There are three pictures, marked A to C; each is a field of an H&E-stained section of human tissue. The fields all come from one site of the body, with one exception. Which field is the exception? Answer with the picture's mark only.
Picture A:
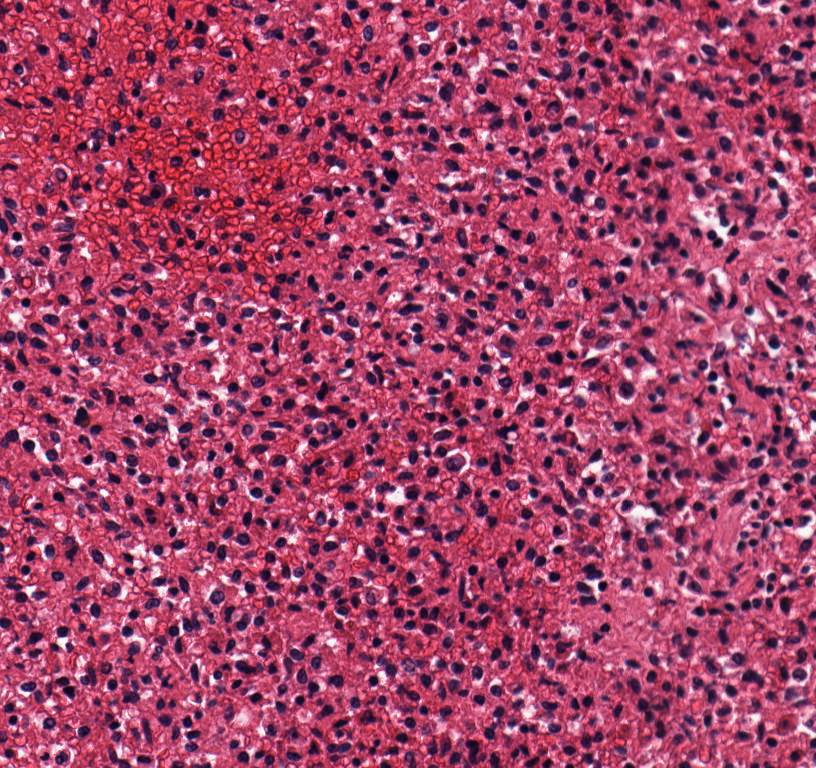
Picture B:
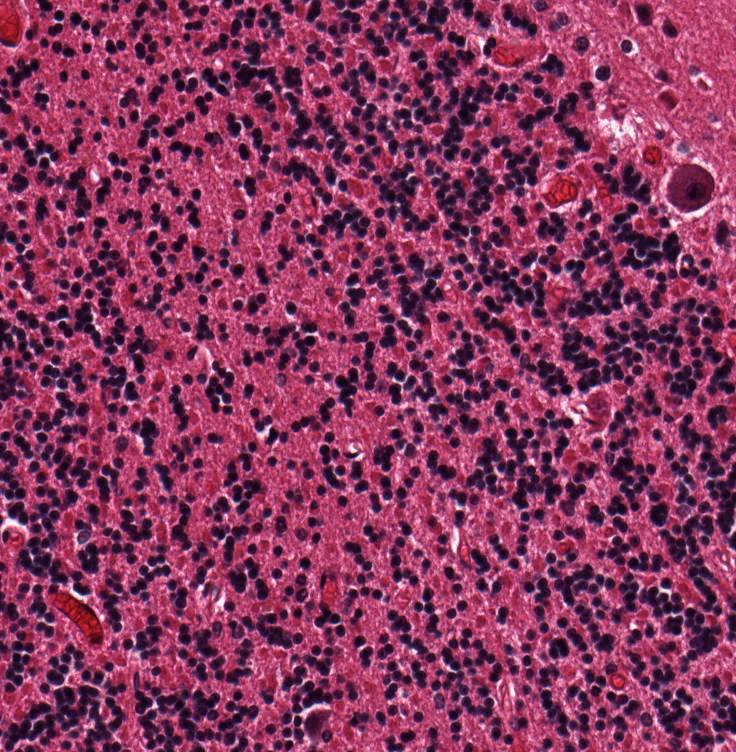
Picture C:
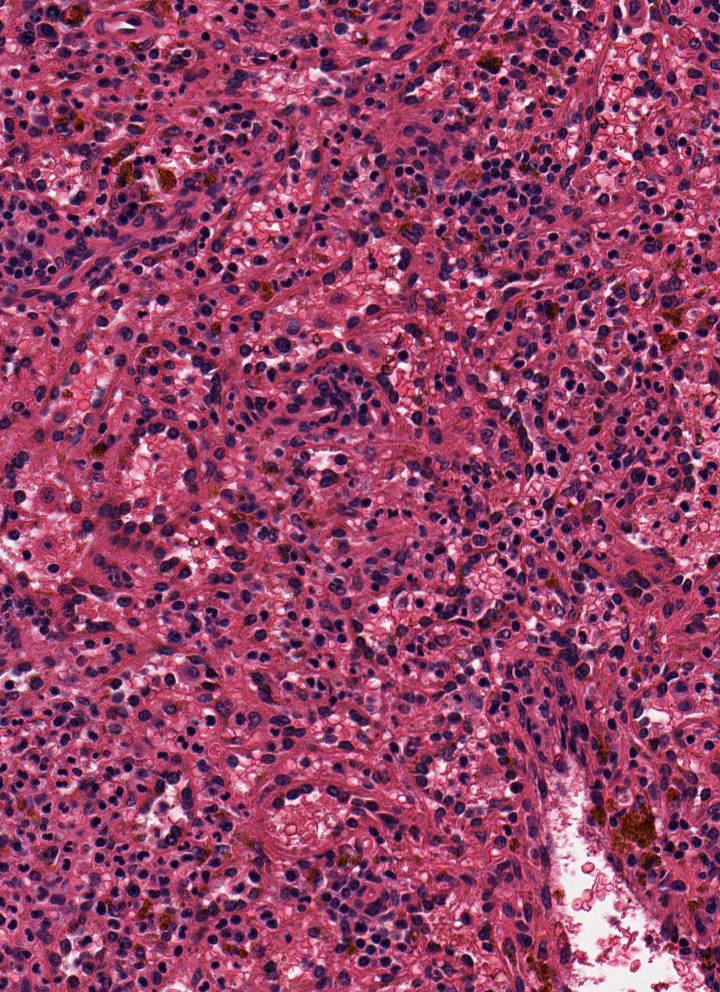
B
